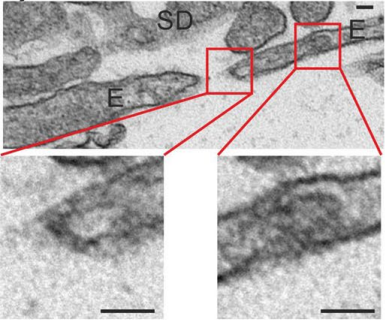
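This thin section shows the wall of a liver sinusoid with thin sinusoidal endothelial cell processes bordering the space of Disse. Above, larger rounded membrane-bound profiles fill the space of Disse. The endothelial processes are slender, dark-edged sheets, and in the enlarged boxes their ends and overlapping edges are seen at higher magnification. No small round black dots are seen along the endothelial surfaces in either enlargement.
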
